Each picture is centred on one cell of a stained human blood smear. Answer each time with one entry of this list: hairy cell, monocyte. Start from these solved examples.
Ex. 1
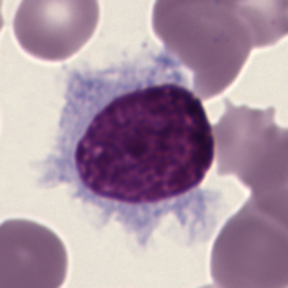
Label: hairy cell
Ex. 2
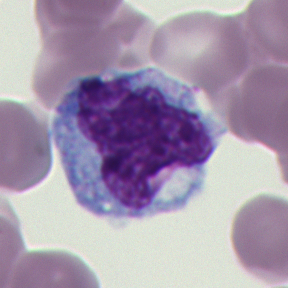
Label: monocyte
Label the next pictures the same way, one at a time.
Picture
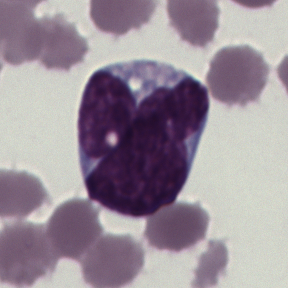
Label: monocyte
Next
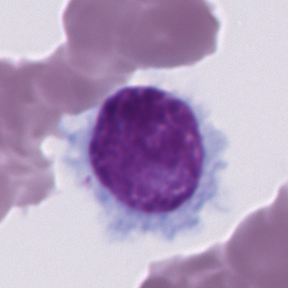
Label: hairy cell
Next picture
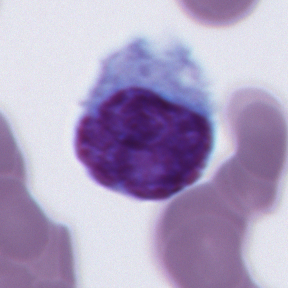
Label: monocyte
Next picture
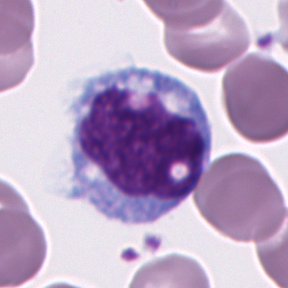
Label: monocyte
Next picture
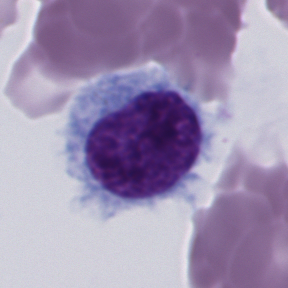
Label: hairy cell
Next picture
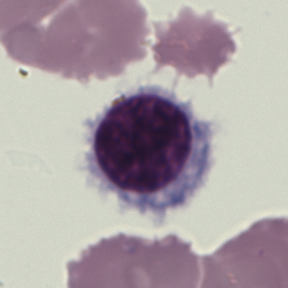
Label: hairy cell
